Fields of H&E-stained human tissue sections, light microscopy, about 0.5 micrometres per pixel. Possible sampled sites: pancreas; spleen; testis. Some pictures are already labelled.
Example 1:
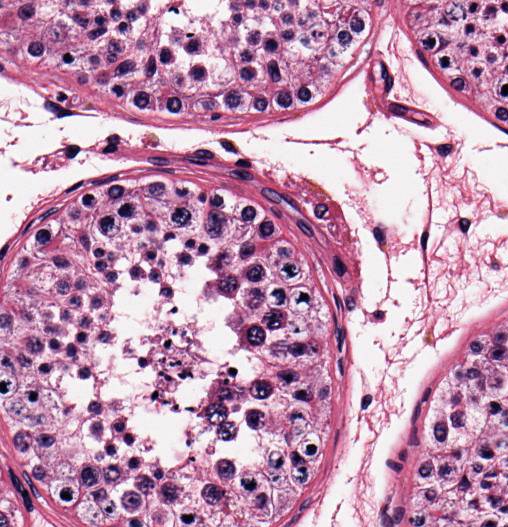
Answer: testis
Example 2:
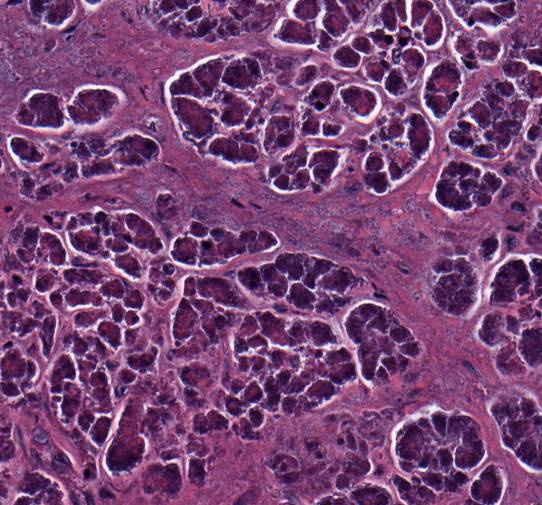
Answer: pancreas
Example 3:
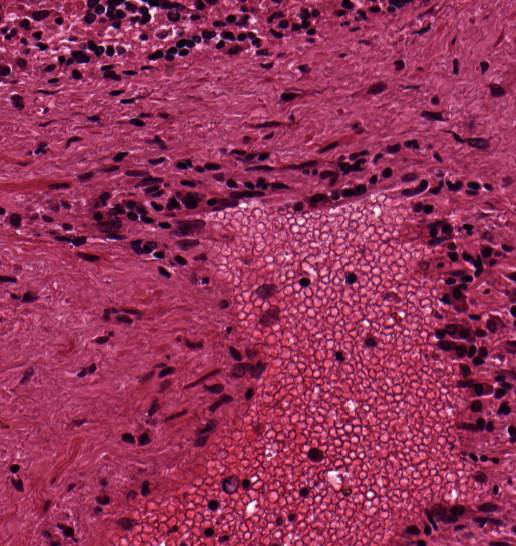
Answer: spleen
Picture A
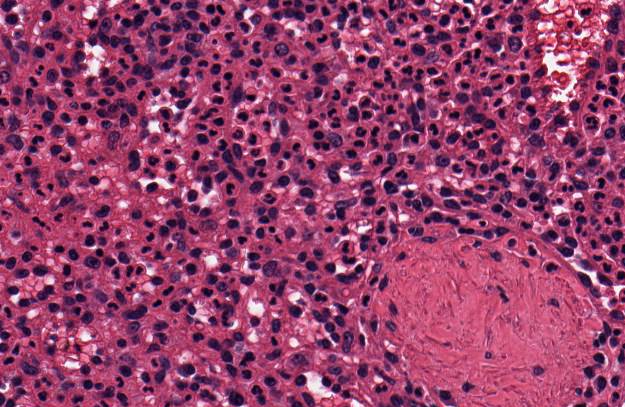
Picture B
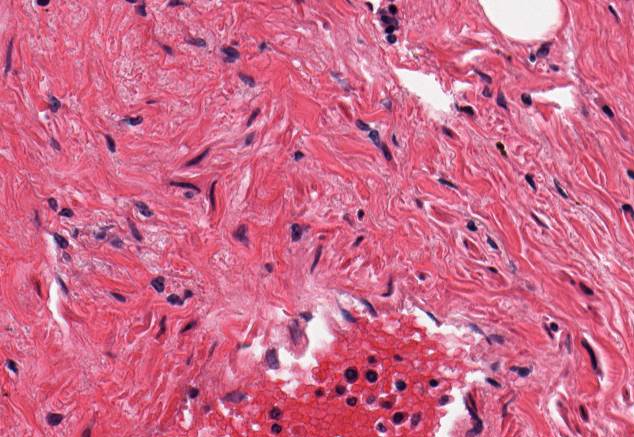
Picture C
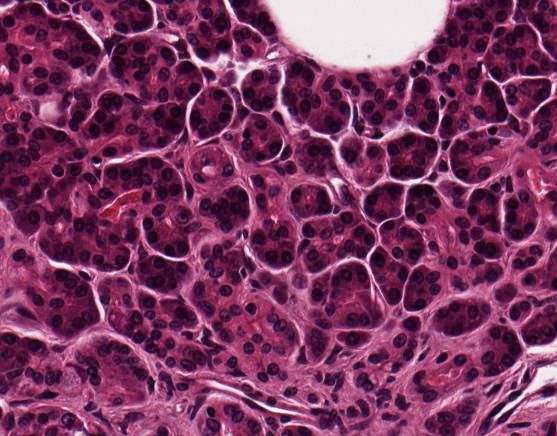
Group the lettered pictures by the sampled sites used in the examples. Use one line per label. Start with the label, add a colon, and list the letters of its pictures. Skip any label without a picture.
pancreas: C
spleen: A, B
